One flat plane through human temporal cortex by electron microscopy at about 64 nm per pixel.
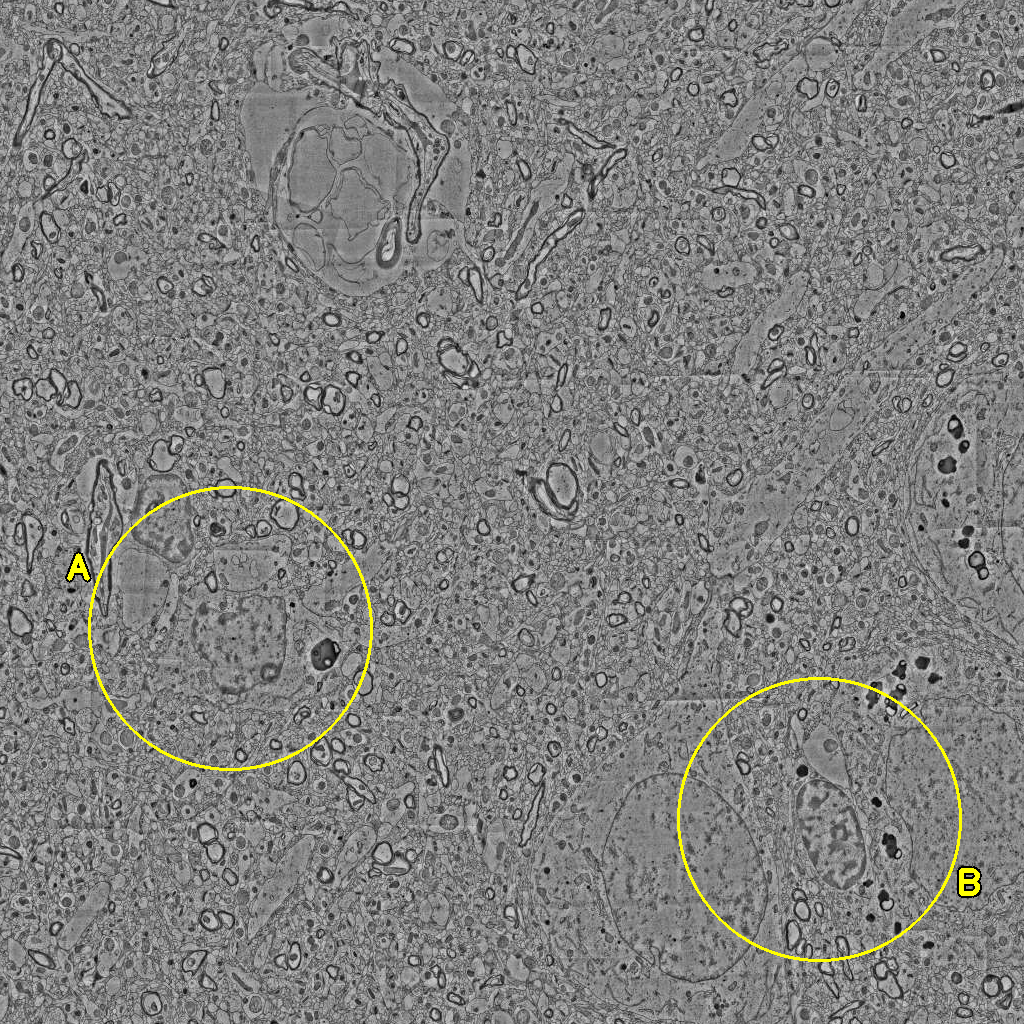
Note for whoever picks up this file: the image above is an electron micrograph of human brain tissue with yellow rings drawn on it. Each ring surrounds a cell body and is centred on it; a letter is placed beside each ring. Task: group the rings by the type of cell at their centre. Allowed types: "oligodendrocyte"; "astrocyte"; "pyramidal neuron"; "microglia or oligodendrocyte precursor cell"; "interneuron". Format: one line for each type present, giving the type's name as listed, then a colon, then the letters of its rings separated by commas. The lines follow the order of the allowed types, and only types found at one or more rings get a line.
microglia or oligodendrocyte precursor cell: B
interneuron: A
